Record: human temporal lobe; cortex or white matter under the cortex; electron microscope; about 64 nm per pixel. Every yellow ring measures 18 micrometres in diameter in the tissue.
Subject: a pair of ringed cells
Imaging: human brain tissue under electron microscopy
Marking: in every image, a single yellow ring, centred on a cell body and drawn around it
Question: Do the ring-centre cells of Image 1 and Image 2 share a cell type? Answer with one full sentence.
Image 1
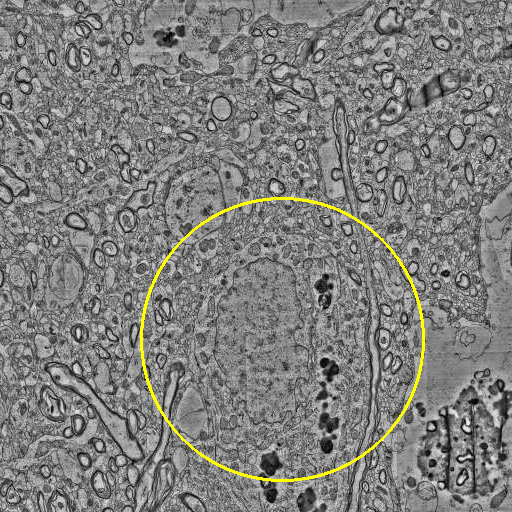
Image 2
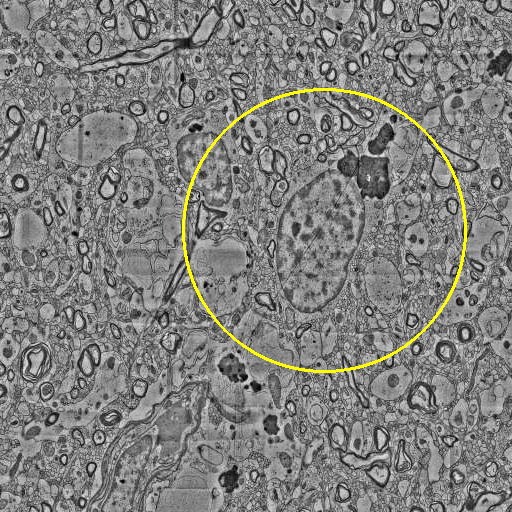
No, at the ring centres in the images sit cells of two separate types.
